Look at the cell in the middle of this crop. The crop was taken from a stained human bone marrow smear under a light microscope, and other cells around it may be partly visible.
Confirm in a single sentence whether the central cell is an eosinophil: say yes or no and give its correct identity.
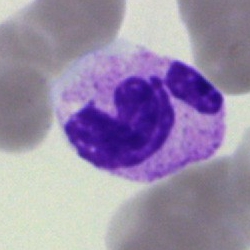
No, sorry, the middle cell is a neutrophil rather than an eosinophil.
